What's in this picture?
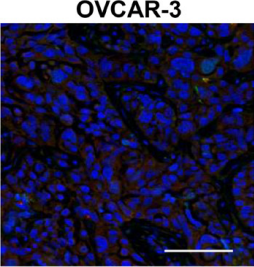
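Blue nuclei fill most of the field. They are large, round to oval, vary in size, and lie crowded against one another with little space between them. The cells form sheets and nests separated by thin, darker strands and narrow gaps. A faint reddish tint lies over the cytoplasm and the spaces between the nuclei.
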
